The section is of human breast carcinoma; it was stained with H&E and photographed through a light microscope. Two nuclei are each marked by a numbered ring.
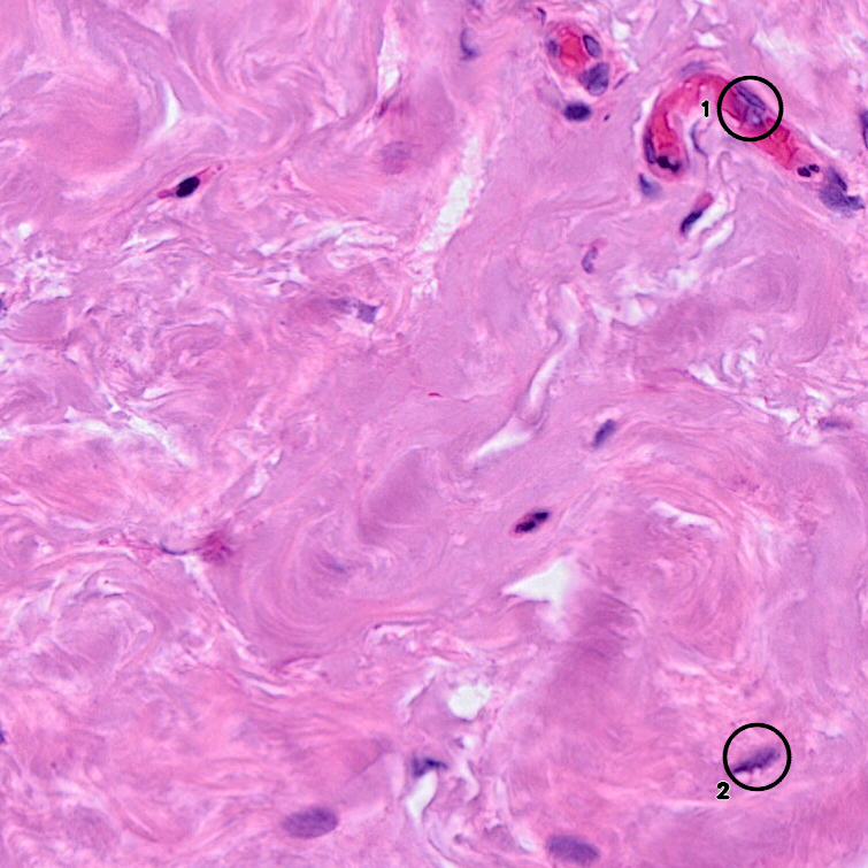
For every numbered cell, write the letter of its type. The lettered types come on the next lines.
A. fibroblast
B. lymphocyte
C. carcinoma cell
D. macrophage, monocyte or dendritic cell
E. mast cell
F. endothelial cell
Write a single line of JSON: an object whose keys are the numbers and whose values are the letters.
{"1": "F", "2": "A"}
